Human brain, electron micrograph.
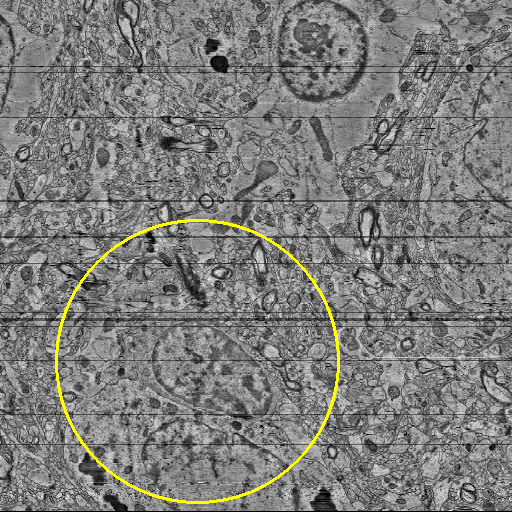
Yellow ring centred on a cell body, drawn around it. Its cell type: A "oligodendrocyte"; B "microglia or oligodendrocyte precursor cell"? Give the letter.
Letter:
A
